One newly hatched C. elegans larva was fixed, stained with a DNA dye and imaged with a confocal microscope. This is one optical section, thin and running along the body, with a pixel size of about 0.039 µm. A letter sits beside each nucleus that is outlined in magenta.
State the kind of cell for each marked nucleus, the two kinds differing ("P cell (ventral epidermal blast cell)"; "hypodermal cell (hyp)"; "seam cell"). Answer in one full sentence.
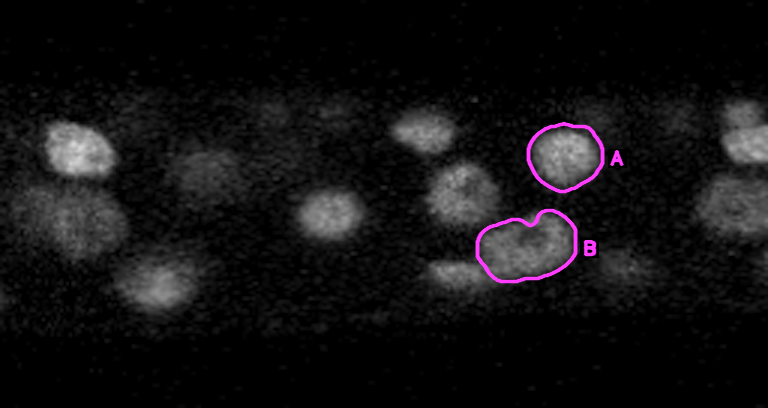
B belongs to a hypodermal cell (hyp), and A to a P cell (ventral epidermal blast cell).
